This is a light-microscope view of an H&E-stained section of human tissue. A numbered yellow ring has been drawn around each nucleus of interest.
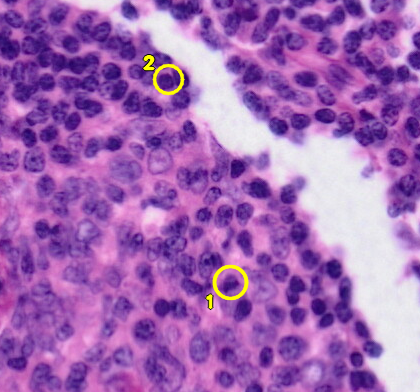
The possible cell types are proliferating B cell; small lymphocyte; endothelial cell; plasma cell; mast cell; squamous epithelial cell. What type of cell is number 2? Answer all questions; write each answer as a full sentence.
The numbered cell 2 is identified here as a small lymphocyte.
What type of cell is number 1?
The correct label for cell 1 is a proliferating B cell.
